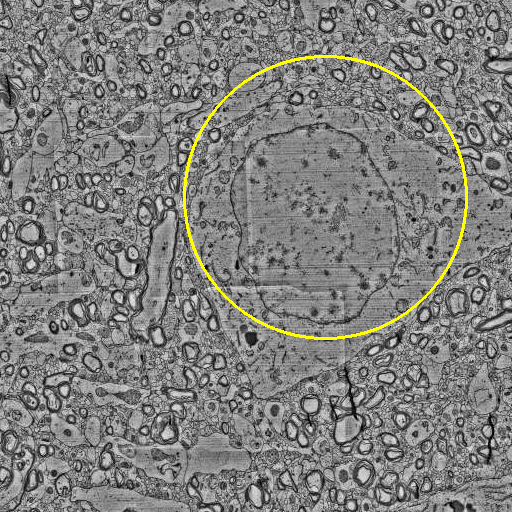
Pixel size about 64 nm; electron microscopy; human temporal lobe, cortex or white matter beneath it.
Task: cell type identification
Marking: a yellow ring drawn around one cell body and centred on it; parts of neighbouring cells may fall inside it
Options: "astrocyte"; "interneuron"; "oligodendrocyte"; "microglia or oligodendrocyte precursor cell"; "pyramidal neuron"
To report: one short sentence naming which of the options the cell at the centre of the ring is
The cell at the centre of the ring is a pyramidal neuron.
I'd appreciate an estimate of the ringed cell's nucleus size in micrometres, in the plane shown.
Approximately 13 x 11 micrometres in this plane.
